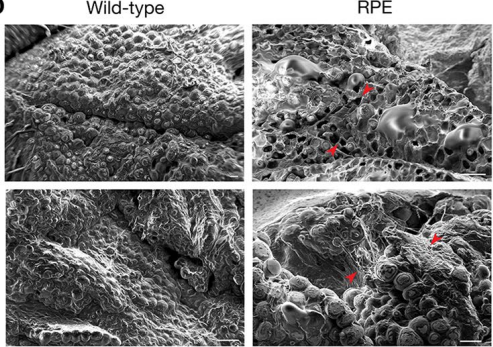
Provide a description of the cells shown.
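The left column shows a tissue surface covered evenly with closely packed, rounded cell profiles. In the right column this even surface is broken up. Open cavities, smooth glossy rounded masses and rough strand-like areas lie among the remaining rounded cells. Red arrows point to these irregular sites.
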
